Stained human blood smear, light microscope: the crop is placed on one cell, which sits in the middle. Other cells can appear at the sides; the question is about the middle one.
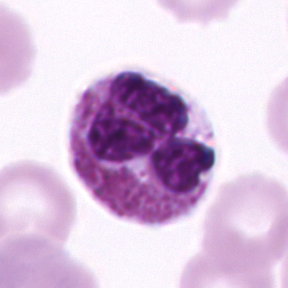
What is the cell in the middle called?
eosinophil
